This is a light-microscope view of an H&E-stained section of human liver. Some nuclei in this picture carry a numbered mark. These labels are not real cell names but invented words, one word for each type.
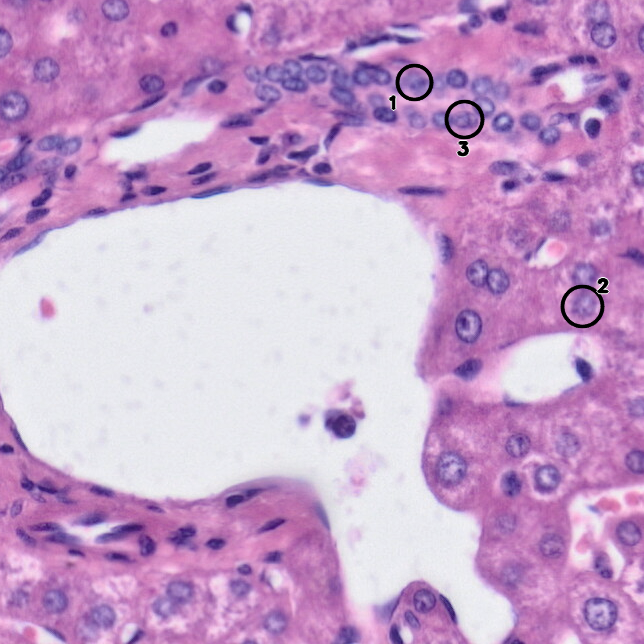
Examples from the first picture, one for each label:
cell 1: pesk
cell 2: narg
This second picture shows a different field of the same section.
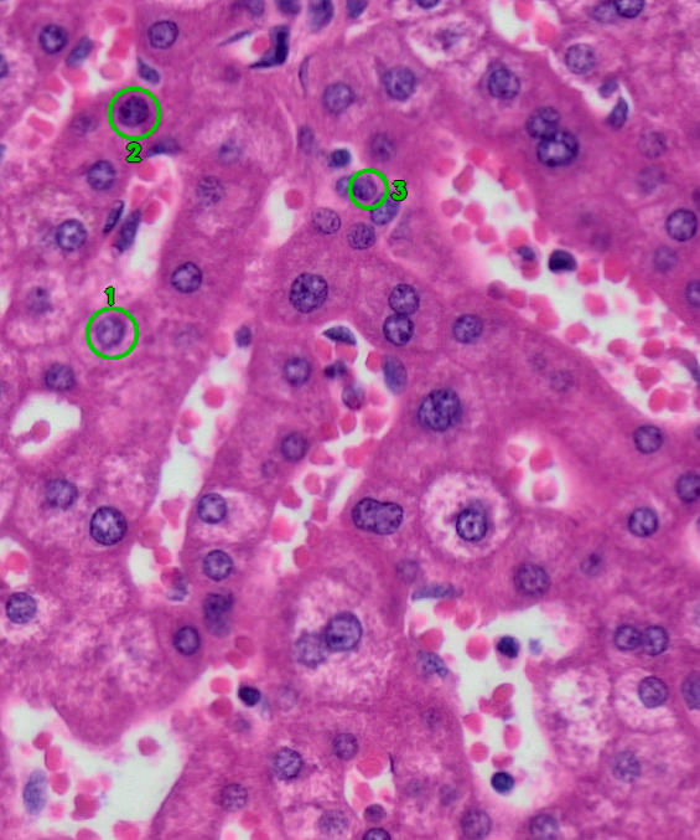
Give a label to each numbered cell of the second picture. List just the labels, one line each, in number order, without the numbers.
narg
narg
pesk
